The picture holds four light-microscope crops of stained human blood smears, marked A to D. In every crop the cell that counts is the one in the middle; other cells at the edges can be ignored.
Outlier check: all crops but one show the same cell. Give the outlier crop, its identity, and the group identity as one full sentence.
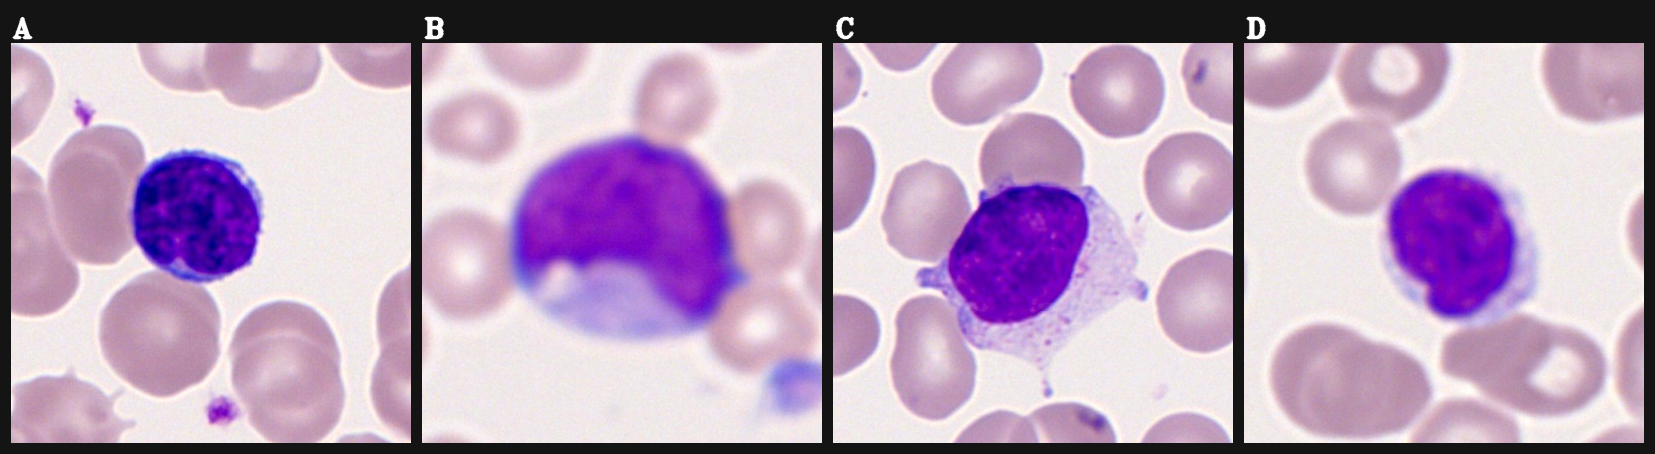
The different one is crop B, which is a myeloblast; the rest all show lymphocytes.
